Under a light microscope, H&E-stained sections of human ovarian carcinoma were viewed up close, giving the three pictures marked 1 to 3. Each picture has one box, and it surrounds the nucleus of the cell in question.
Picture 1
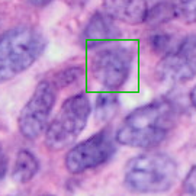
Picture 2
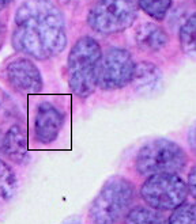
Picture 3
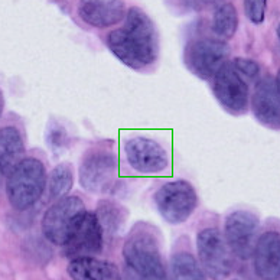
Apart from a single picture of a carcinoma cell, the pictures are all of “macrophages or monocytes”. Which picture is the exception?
1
